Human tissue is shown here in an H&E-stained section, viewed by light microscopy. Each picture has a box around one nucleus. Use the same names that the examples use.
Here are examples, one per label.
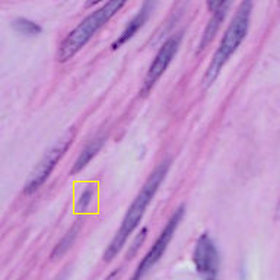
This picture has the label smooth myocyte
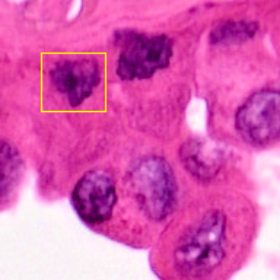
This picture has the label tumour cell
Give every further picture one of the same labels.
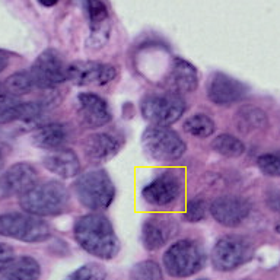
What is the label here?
tumour cell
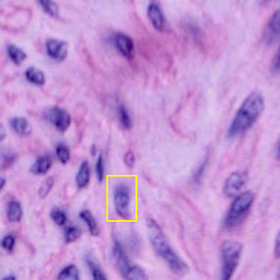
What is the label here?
smooth myocyte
